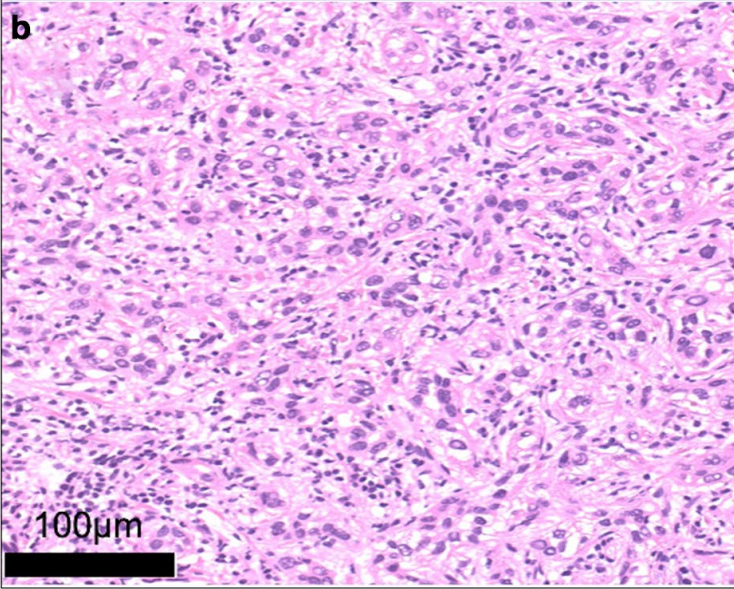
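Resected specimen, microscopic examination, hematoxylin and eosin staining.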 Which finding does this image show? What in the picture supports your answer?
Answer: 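Larger pale-nucleated cells line up in narrow, branching strands. The strands run in irregular directions through a pale pink background.
Answer: irregular, cord-like pattern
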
